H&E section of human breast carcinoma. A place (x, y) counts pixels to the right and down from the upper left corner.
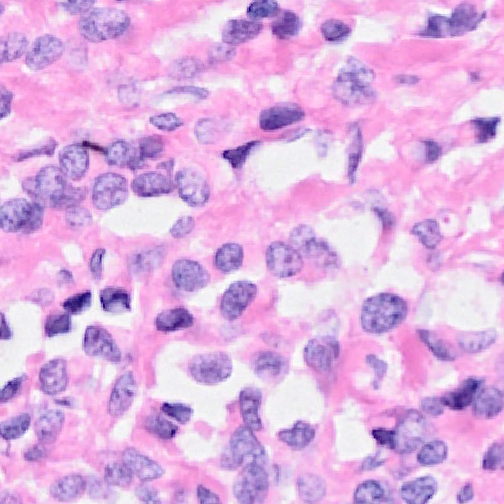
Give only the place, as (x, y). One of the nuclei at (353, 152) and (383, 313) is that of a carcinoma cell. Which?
(383, 313)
